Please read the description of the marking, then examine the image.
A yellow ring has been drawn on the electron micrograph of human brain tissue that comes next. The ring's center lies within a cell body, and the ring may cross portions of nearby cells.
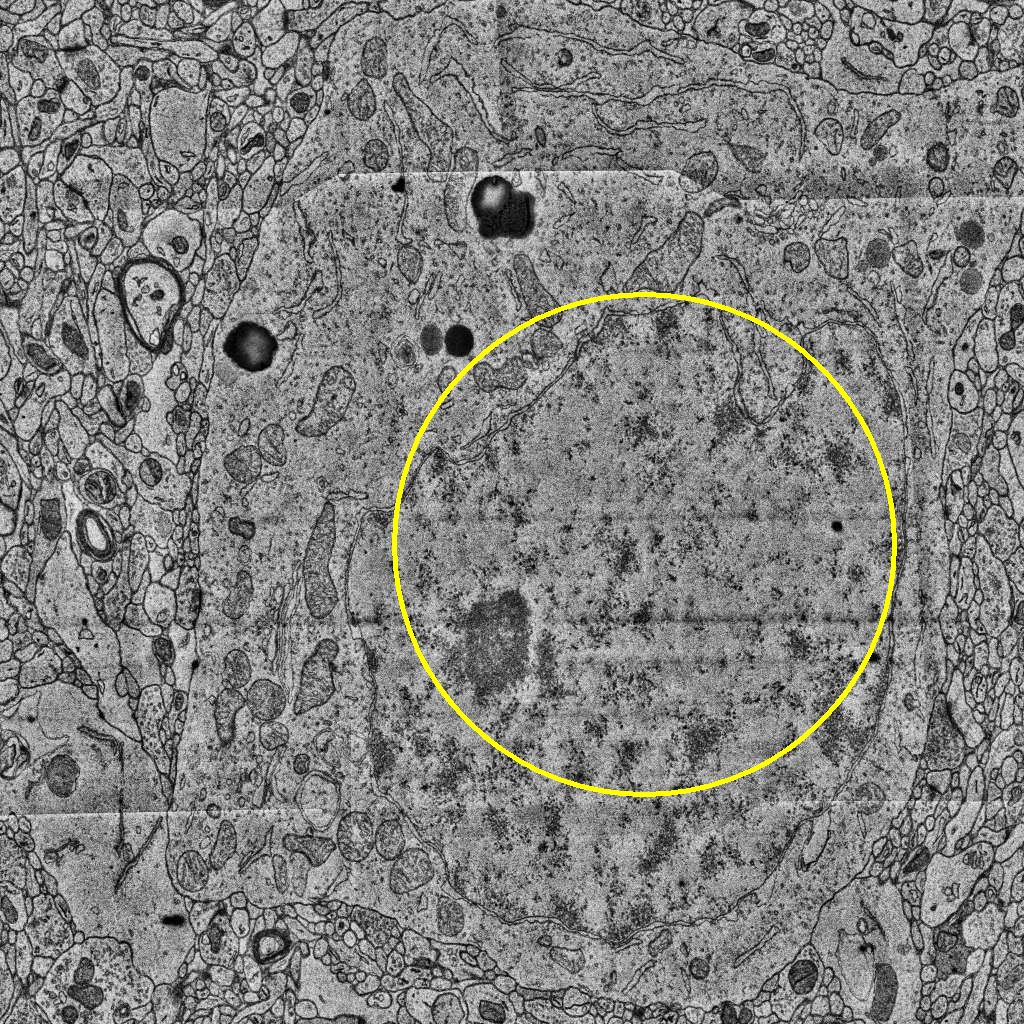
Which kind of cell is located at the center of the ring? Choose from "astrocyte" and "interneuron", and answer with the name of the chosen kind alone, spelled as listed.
interneuron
